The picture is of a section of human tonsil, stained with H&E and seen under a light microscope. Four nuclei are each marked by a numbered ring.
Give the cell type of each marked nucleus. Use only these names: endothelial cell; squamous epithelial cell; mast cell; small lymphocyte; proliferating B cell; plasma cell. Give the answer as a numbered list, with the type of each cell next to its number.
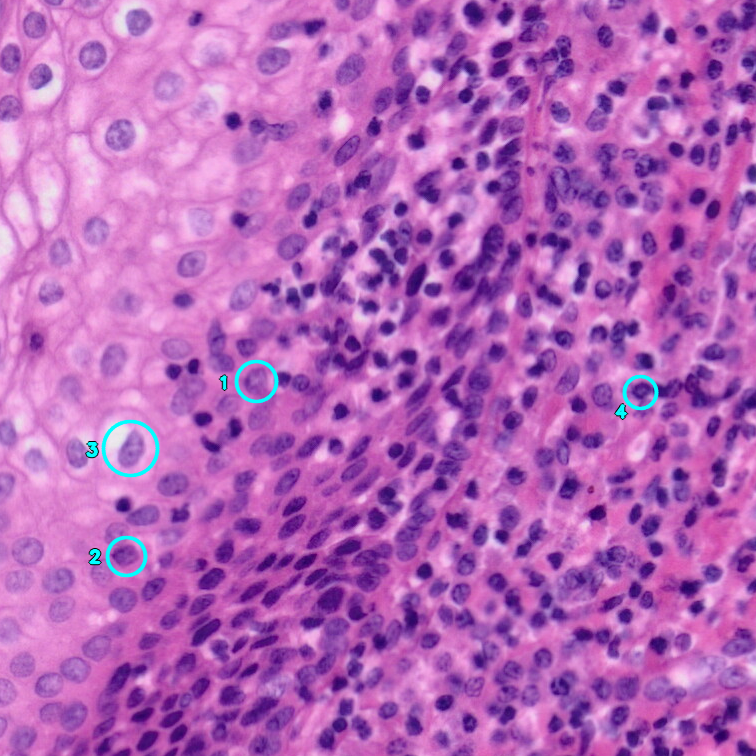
1. squamous epithelial cell
2. squamous epithelial cell
3. squamous epithelial cell
4. plasma cell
